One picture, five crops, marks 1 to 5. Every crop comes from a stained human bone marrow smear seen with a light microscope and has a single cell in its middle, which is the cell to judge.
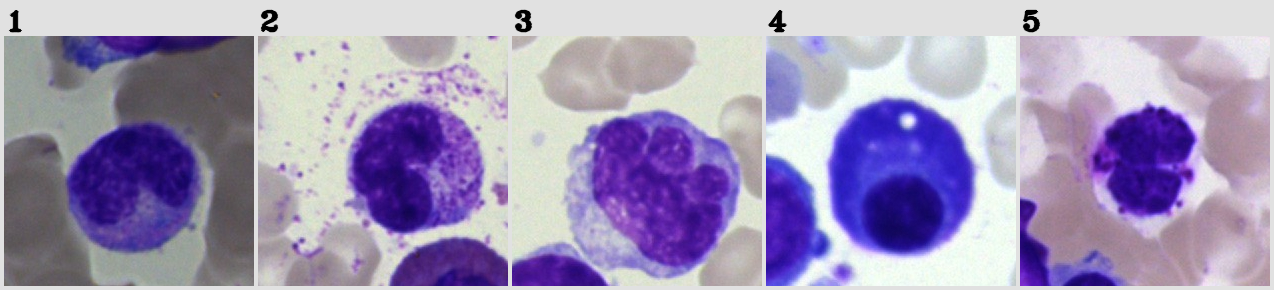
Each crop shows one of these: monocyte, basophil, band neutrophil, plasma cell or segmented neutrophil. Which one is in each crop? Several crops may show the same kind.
1: monocyte
2: band neutrophil
3: monocyte
4: plasma cell
5: basophil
